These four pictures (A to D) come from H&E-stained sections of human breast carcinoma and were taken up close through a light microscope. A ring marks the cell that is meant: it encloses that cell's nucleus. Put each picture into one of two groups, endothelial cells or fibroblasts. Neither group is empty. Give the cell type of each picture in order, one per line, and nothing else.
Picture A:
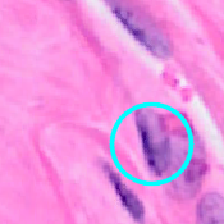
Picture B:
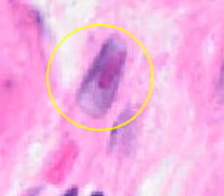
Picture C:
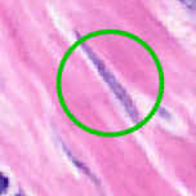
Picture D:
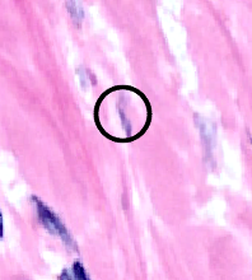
endothelial cell
endothelial cell
fibroblast
fibroblast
